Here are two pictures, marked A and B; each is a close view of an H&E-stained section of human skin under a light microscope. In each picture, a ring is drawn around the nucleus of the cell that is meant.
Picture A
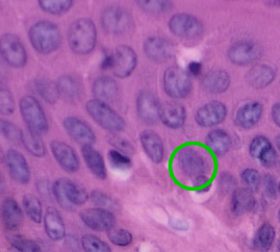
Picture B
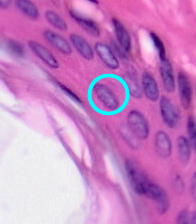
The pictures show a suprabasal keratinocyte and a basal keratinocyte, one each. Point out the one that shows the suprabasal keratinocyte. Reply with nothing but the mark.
B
